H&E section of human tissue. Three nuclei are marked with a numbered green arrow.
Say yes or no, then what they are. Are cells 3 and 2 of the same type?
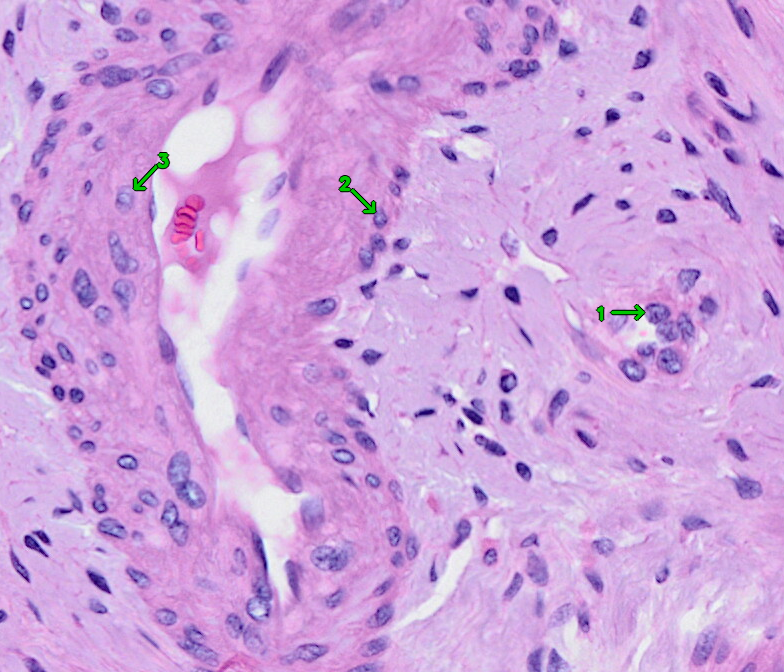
Yes, both are smooth muscle cells.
